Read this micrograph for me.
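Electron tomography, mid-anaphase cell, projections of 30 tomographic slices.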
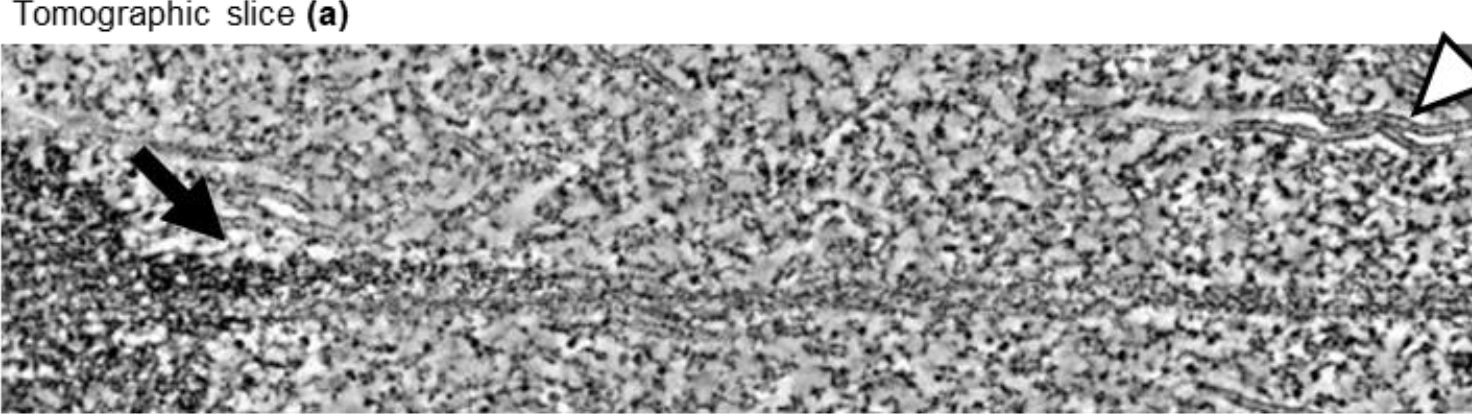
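At the left edge lies the dense, granular mass of chromatin. From it a darker, fibrous band extends horizontally across the field, made up of fine parallel filaments that stand out from the surrounding speckled cytoplasm. Near the top runs a long tube with two parallel dense walls and an even width, which is a microtubule. The background cytoplasm is crowded with small dense granules.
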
